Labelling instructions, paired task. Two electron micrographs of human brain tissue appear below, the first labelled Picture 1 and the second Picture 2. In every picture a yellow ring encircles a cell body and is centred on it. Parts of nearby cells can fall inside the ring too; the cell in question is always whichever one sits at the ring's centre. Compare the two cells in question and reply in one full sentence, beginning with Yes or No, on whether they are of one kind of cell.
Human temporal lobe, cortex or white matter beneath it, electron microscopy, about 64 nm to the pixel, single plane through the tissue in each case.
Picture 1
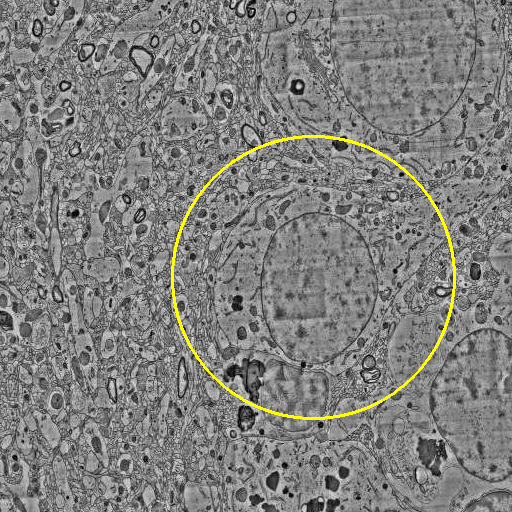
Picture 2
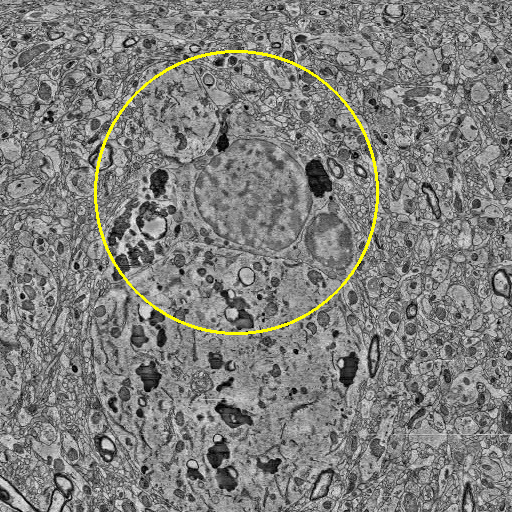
No, the two cells at the ring centres in Picture 1 and Picture 2 are of two kinds.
